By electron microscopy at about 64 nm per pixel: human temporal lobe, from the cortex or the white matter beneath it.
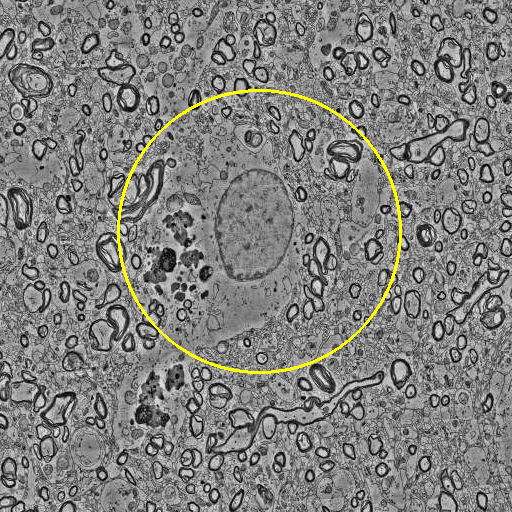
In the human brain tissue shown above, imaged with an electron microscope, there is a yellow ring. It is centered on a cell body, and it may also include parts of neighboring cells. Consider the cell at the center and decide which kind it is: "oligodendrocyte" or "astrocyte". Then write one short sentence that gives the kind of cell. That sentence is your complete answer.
This centered cell body is that of an astrocyte.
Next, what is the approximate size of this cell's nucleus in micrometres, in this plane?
The nucleus appears roughly 7 by 5 micrometres in this plane.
